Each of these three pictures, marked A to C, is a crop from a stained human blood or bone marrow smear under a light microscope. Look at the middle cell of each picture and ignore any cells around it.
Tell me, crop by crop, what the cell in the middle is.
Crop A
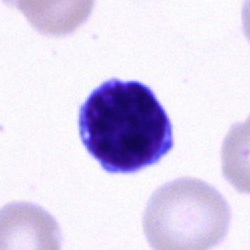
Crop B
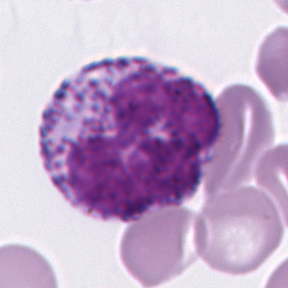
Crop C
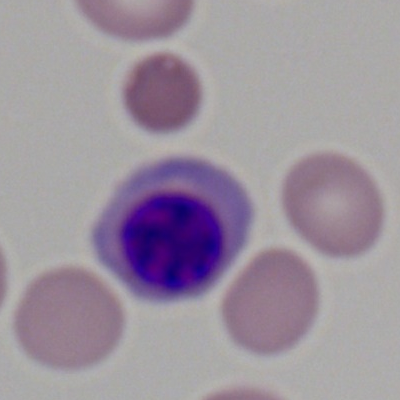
A: lymphocyte
B: basophil
C: normoblast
